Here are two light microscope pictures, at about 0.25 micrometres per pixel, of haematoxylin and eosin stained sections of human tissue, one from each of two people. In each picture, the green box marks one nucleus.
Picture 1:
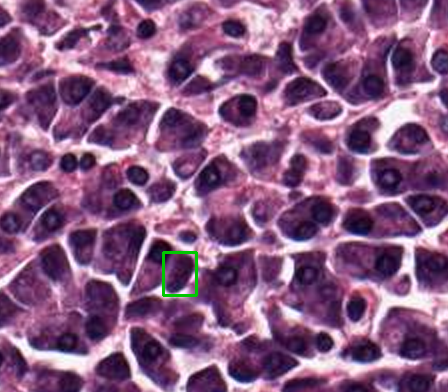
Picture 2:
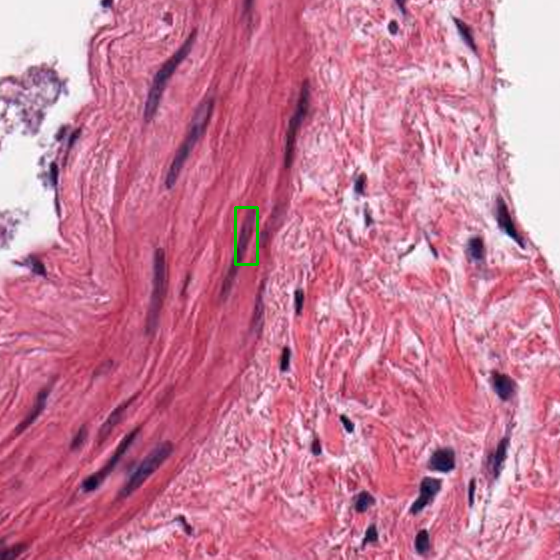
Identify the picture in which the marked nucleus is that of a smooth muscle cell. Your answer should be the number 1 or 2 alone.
2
